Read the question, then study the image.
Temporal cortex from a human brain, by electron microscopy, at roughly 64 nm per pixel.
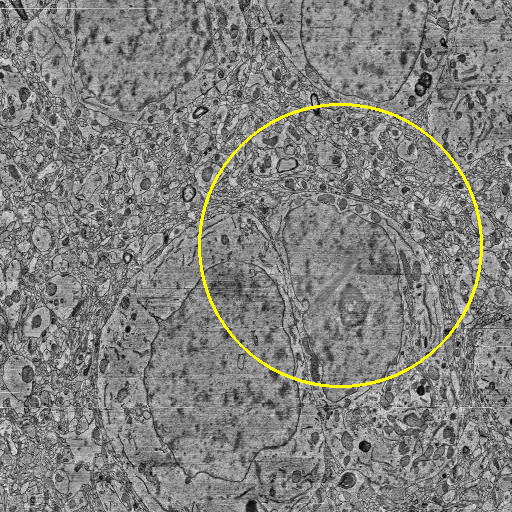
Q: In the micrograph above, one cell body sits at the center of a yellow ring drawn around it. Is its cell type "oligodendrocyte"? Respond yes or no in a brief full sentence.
No, its cell type is another one.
